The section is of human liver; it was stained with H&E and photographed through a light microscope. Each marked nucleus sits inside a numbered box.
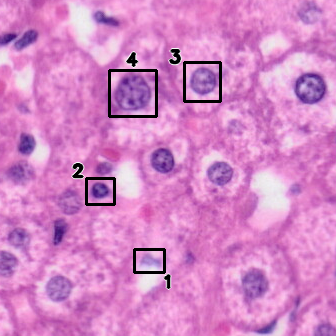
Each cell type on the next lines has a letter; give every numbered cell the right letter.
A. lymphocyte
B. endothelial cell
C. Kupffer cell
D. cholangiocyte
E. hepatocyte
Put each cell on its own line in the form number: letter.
1: B
2: A
3: E
4: E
